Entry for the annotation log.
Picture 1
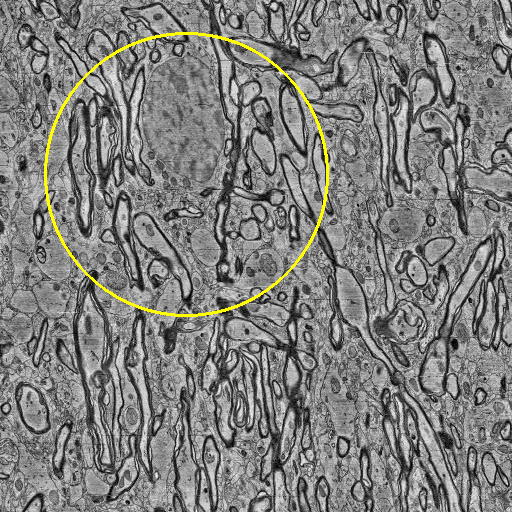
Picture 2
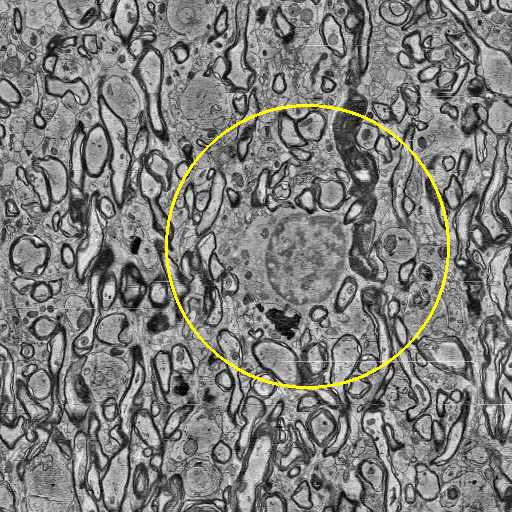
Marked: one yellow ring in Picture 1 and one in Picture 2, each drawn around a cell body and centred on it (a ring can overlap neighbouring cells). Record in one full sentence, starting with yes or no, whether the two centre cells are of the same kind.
Yes, both cells are of the same kind.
